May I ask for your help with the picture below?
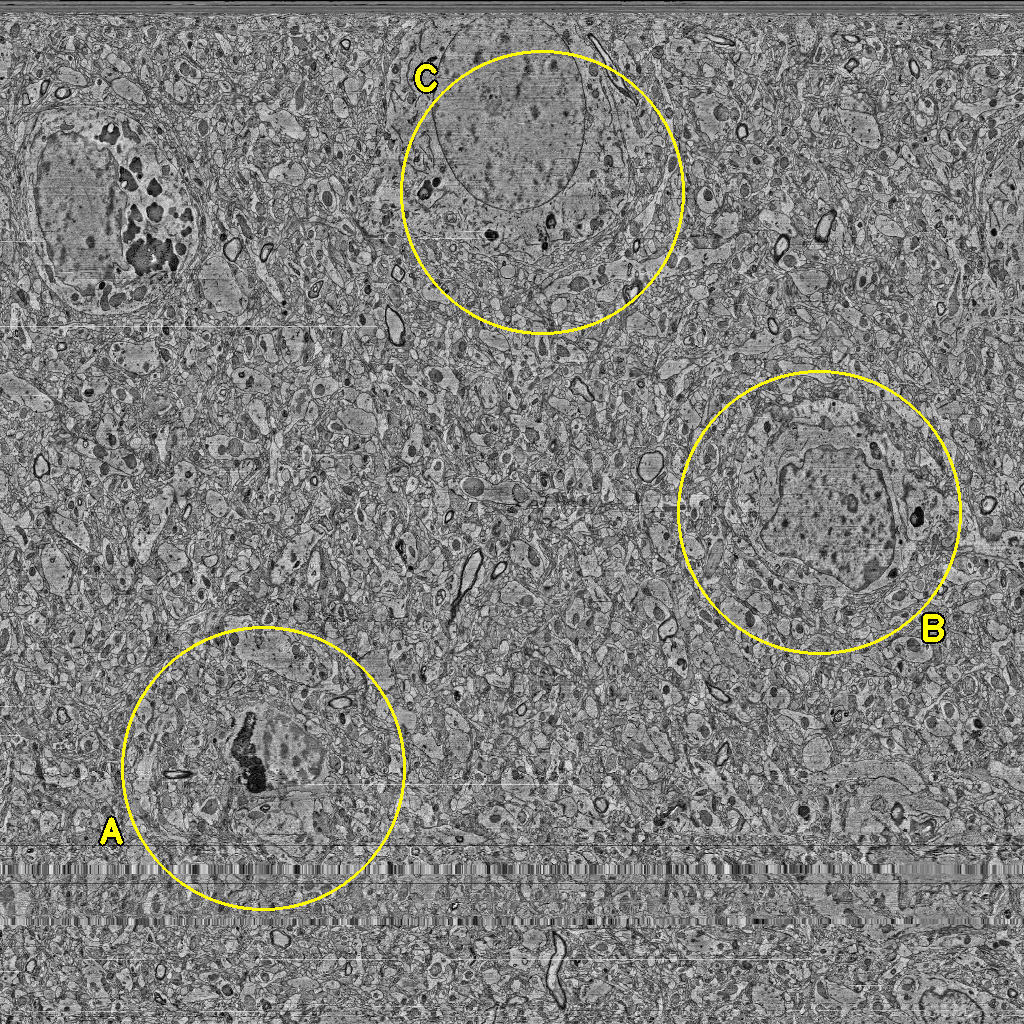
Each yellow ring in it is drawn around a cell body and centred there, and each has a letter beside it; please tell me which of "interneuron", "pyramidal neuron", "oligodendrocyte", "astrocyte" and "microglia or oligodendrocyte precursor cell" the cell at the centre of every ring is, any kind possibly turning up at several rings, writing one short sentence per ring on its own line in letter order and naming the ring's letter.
Ring A is drawn around the cell body of an oligodendrocyte.
Ring B is drawn around the cell body of a microglial cell or oligodendrocyte precursor cell.
Ring C is drawn around the cell body of a pyramidal neuron.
